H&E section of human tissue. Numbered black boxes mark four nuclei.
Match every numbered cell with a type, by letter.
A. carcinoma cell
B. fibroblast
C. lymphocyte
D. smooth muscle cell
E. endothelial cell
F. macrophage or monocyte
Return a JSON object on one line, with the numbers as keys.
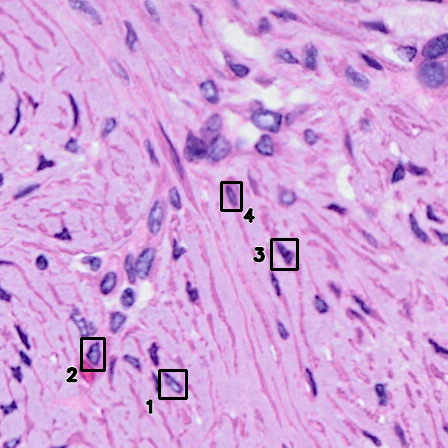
{"1": "B", "2": "E", "3": "B", "4": "B"}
